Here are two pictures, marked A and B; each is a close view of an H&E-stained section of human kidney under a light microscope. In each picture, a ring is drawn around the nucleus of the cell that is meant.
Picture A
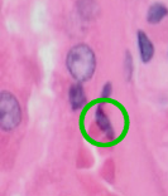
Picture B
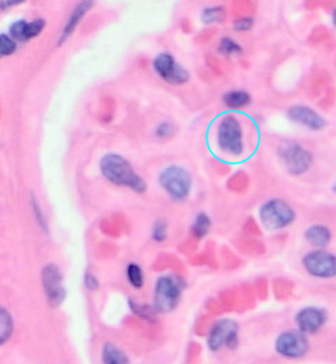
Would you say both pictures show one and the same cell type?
yes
